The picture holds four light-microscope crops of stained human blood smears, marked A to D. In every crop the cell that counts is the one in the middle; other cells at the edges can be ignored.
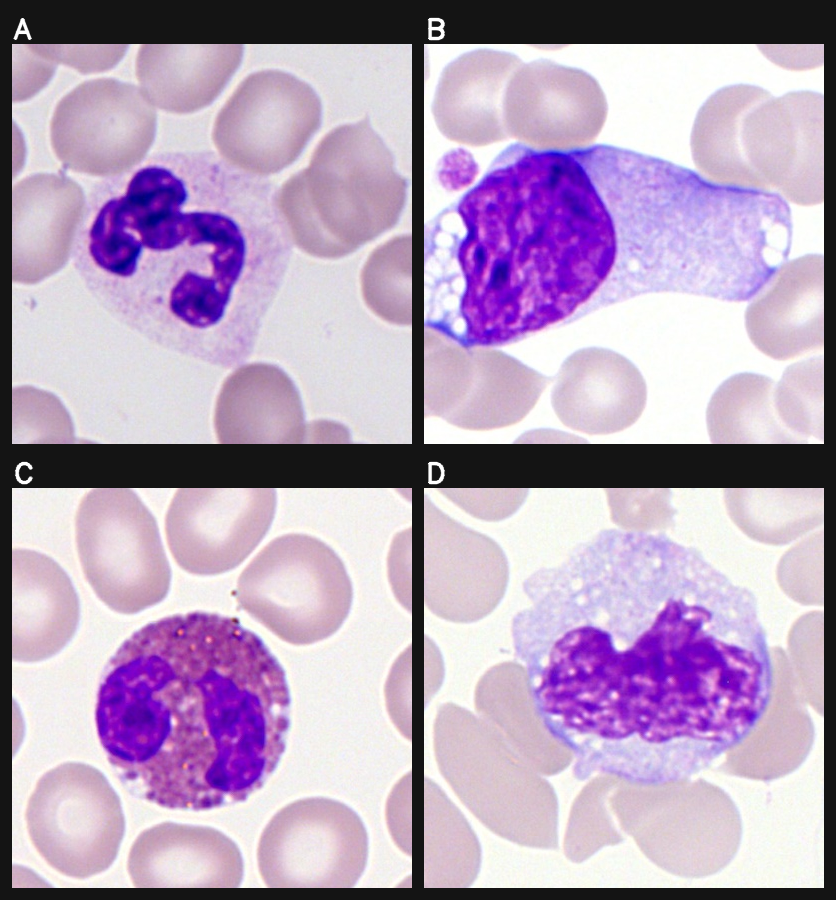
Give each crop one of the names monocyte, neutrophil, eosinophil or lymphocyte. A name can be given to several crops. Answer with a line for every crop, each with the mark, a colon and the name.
A: neutrophil
B: monocyte
C: eosinophil
D: monocyte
